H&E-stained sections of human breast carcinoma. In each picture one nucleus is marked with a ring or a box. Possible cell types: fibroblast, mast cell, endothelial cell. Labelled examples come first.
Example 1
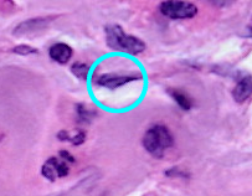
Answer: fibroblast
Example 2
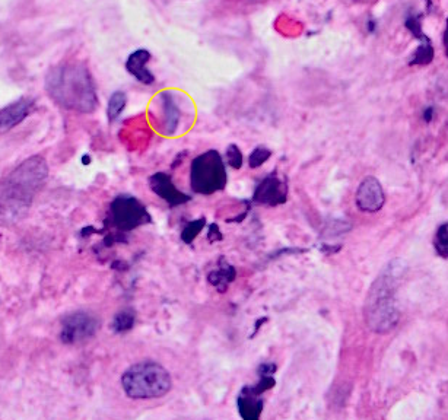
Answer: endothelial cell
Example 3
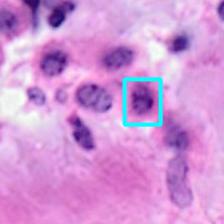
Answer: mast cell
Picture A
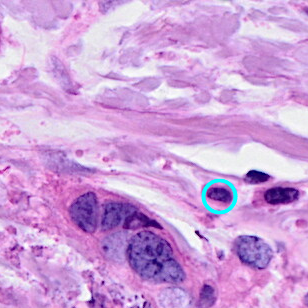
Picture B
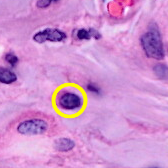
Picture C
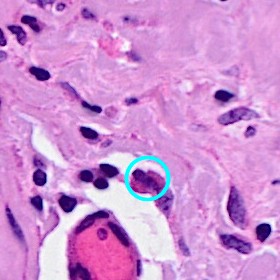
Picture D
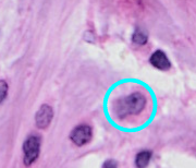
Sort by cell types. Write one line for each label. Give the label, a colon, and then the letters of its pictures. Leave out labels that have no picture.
mast cell: A, B, C, D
